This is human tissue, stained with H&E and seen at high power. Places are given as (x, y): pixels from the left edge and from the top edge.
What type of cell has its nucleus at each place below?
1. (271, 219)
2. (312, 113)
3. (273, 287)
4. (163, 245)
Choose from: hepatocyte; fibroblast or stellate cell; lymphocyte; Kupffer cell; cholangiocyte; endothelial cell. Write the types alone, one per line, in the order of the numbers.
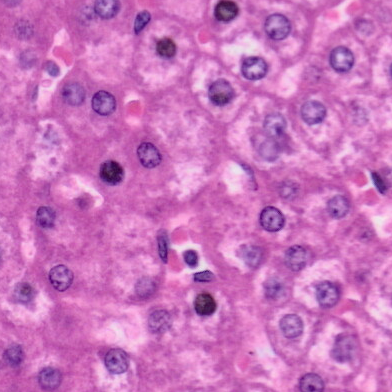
hepatocyte
hepatocyte
hepatocyte
endothelial cell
